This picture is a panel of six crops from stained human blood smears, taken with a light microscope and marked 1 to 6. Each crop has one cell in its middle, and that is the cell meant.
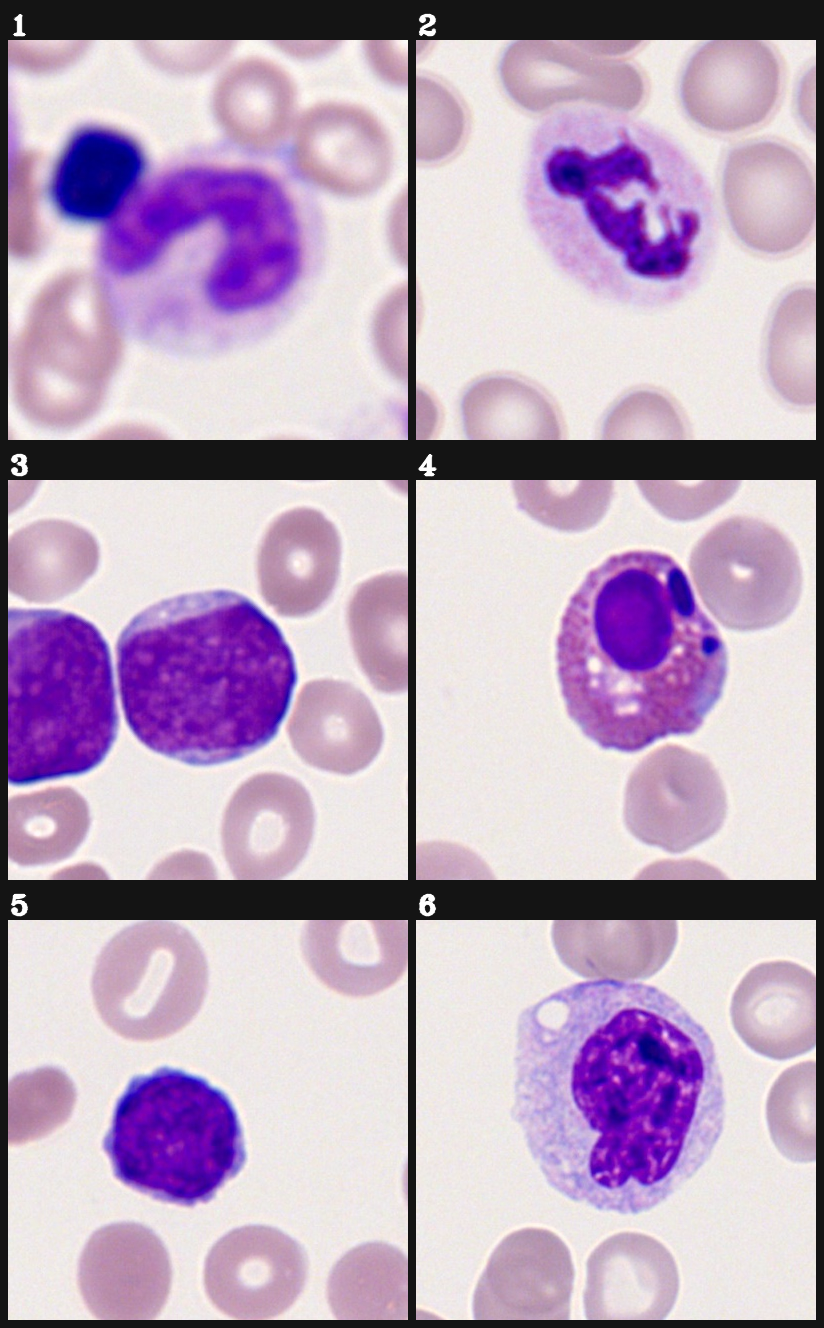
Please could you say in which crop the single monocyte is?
6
